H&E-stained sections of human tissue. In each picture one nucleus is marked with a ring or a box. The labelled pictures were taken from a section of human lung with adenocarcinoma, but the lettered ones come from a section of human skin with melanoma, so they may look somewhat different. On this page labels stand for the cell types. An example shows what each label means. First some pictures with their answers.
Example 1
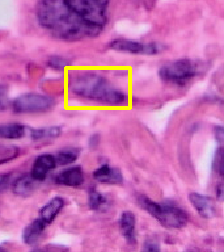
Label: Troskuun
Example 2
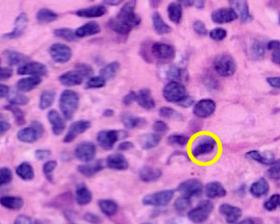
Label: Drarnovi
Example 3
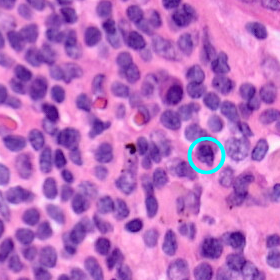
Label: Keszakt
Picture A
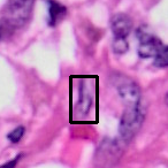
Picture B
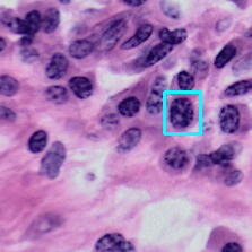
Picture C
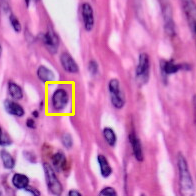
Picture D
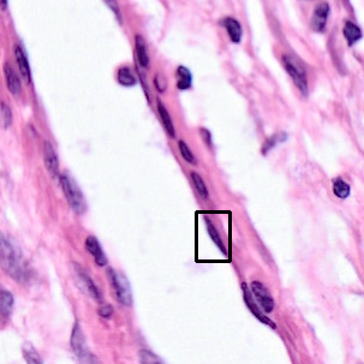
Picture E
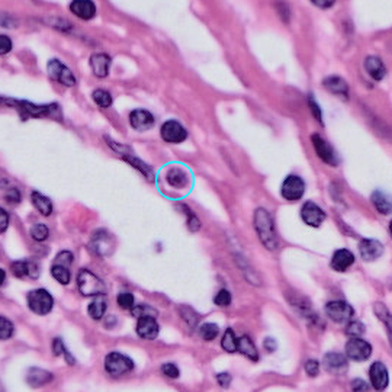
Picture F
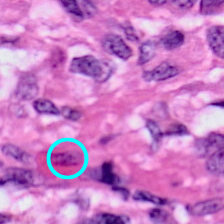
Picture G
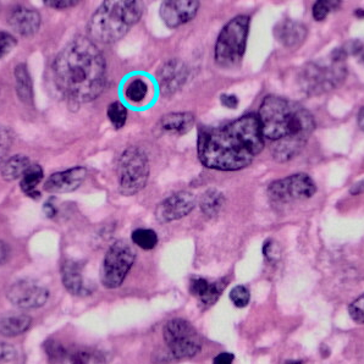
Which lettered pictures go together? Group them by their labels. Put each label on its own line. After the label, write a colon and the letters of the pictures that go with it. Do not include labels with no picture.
Troskuun: A, D, F
Drarnovi: B, C
Keszakt: E, G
